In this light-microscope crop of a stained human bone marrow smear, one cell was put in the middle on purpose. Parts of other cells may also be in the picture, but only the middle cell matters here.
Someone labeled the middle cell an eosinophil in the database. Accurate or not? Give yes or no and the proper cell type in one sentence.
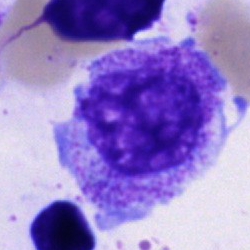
No, this cell in the middle is a promyelocyte, so it is not an eosinophil.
